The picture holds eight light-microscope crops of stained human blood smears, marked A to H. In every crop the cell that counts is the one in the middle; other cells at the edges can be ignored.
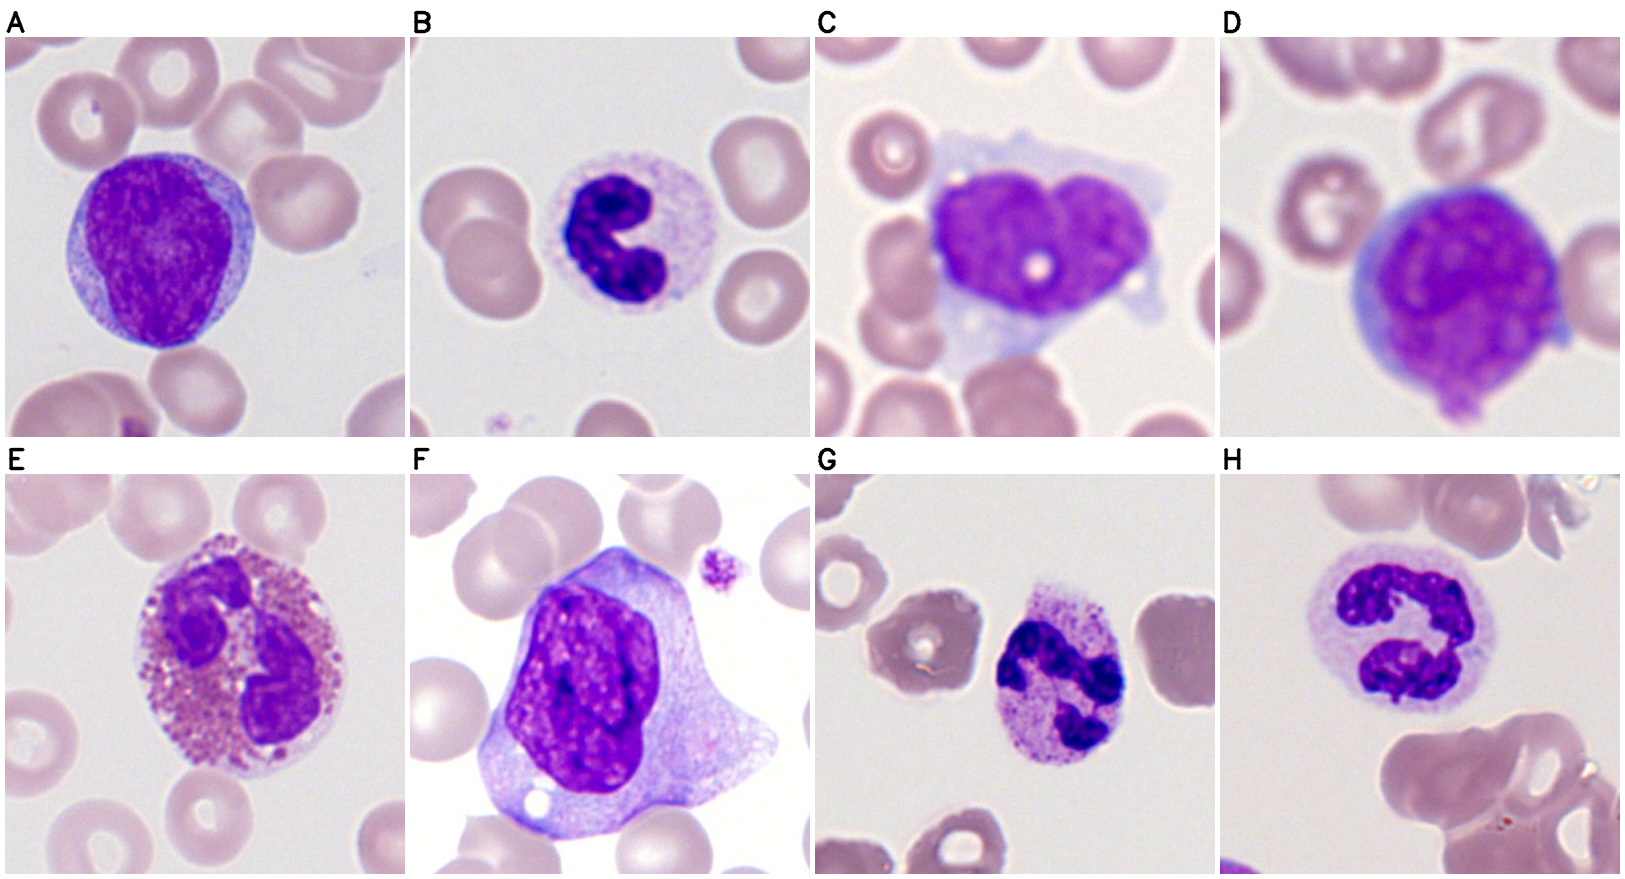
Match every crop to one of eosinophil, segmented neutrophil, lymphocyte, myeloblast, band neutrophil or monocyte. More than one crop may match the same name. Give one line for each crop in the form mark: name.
A: myeloblast
B: band neutrophil
C: monocyte
D: monocyte
E: eosinophil
F: monocyte
G: segmented neutrophil
H: segmented neutrophil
